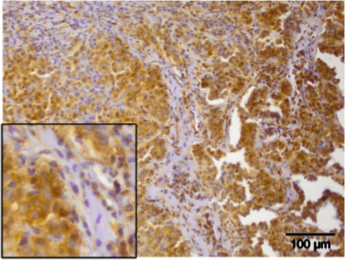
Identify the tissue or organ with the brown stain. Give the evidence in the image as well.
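Large sheets and nests of closely packed cells with ample cytoplasm are stained brown. The thin strands of spindle-shaped cells between the nests are largely pale blue. That points to this answer: tumor epithelium.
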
